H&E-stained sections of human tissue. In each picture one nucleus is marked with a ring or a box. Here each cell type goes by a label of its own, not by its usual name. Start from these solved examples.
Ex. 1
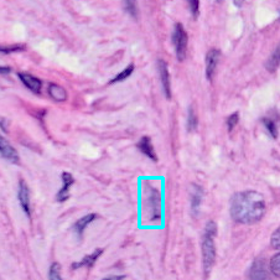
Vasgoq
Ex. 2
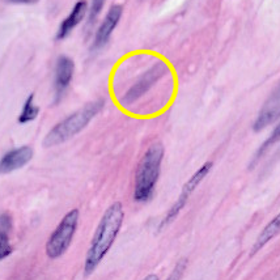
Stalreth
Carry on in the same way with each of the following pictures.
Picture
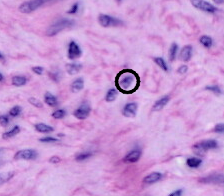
Stalreth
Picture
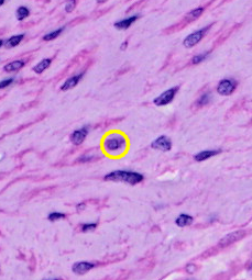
Stalreth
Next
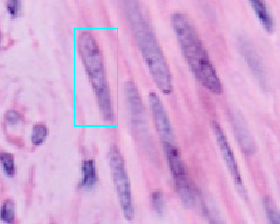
Stalreth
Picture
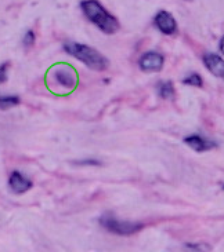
Stalreth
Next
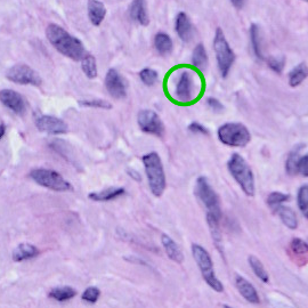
Vasgoq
